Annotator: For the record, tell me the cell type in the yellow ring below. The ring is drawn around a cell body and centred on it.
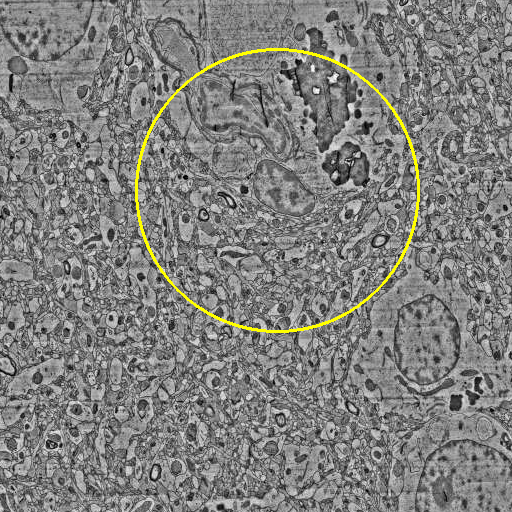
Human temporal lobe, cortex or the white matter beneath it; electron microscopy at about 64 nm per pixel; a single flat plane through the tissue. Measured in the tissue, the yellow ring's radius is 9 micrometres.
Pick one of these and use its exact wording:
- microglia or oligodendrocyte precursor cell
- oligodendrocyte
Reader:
microglia or oligodendrocyte precursor cell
